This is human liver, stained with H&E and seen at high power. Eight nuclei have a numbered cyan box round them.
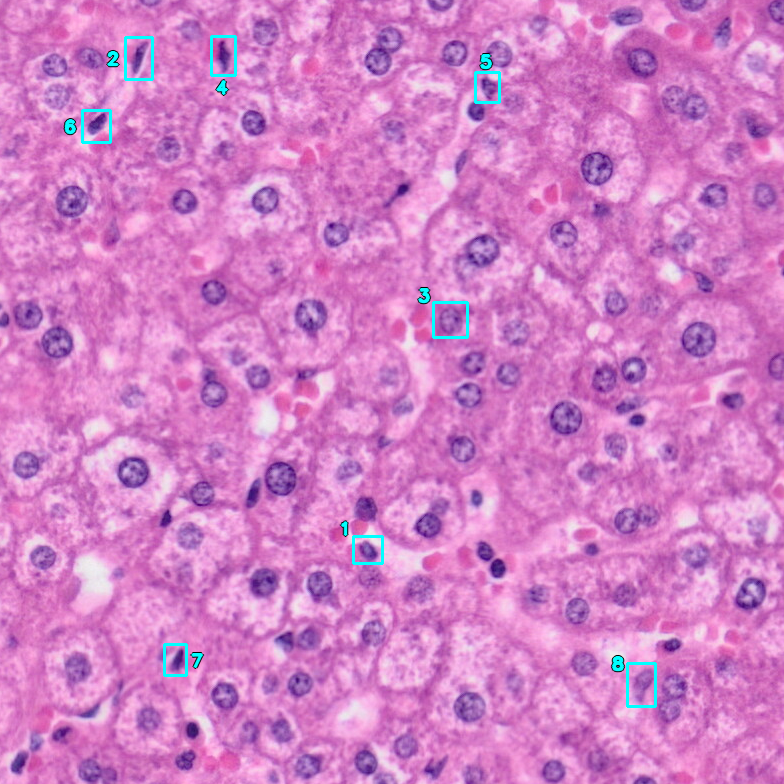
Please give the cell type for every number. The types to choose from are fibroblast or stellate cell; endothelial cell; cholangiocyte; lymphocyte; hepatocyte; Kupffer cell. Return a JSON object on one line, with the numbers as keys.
{"1": "lymphocyte", "2": "endothelial cell", "3": "hepatocyte", "4": "endothelial cell", "5": "fibroblast or stellate cell", "6": "lymphocyte", "7": "endothelial cell", "8": "Kupffer cell"}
